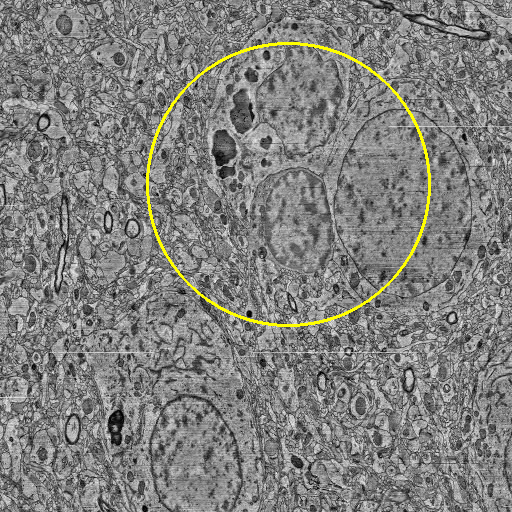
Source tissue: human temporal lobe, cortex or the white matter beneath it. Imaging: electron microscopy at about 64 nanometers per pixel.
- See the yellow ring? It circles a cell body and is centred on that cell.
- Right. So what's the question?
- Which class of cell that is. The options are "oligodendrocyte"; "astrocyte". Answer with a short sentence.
The centre of the ring holds an oligodendrocyte.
